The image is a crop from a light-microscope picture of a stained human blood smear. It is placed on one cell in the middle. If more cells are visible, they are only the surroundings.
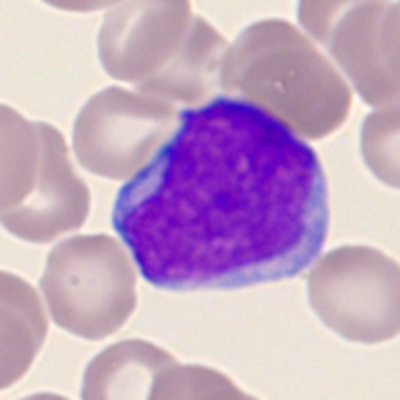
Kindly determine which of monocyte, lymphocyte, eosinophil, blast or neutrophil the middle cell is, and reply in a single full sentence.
The centrally located cell in the crop is a blast.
